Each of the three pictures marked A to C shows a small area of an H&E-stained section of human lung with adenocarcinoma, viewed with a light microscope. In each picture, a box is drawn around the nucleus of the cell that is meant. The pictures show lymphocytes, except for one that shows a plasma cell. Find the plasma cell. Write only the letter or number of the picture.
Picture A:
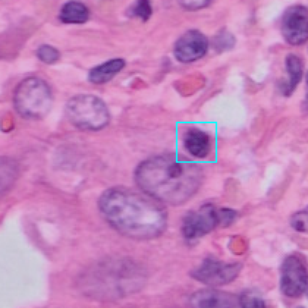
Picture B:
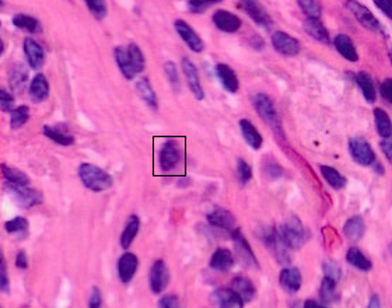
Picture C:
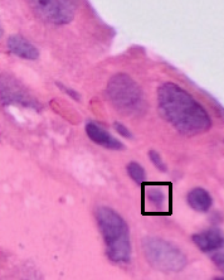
B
